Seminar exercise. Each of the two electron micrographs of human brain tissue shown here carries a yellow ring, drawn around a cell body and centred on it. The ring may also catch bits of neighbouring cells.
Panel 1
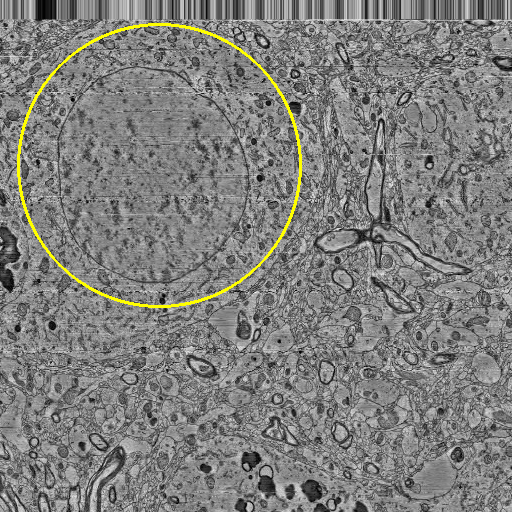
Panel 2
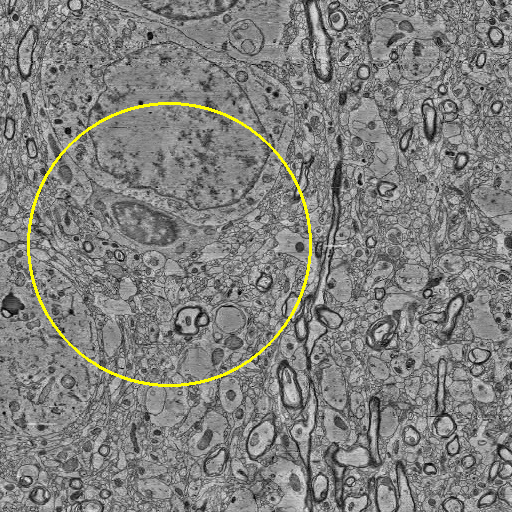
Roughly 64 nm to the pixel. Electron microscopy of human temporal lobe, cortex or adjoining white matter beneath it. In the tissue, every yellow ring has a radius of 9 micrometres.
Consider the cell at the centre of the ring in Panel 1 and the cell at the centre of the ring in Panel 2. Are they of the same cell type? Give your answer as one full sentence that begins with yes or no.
No, the two cells are of two types.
